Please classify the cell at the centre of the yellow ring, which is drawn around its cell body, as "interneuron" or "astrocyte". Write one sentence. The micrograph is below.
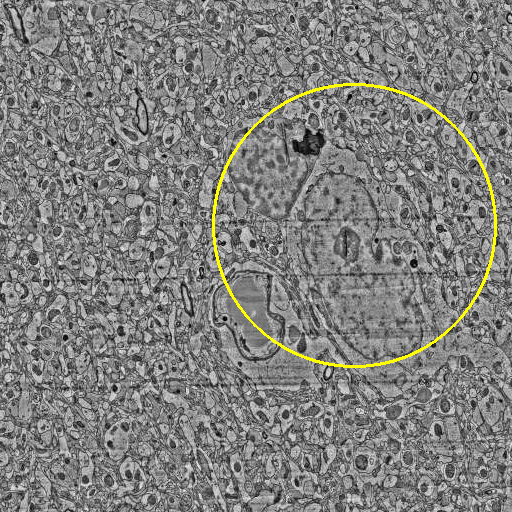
The cell at the ring's centre is classified as an interneuron.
